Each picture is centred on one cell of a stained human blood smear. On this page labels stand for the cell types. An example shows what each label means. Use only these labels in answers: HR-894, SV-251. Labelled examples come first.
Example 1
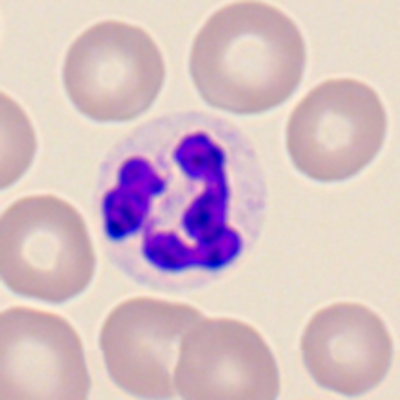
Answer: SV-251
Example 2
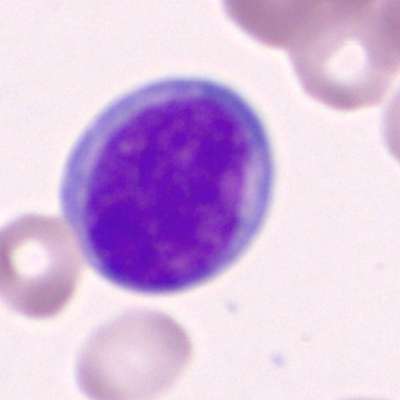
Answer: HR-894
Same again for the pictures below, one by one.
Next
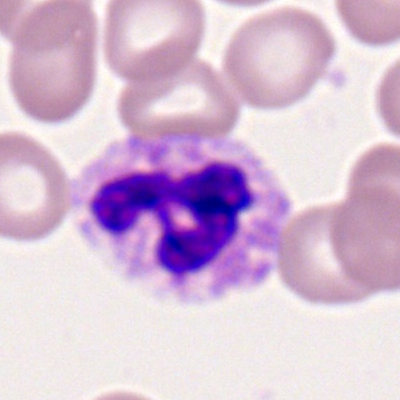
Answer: SV-251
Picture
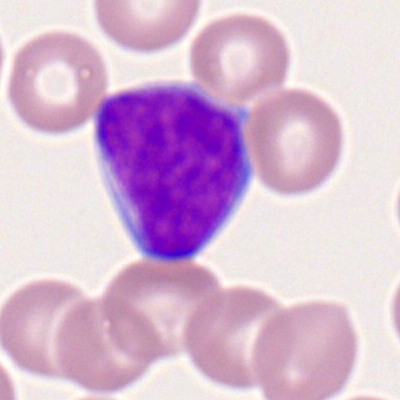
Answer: HR-894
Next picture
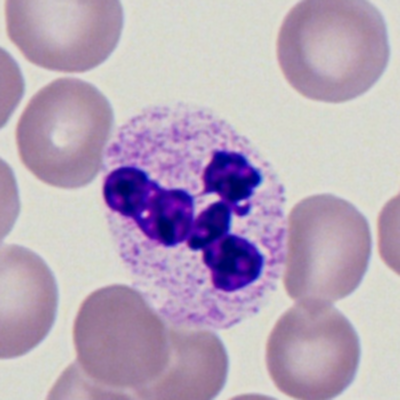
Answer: SV-251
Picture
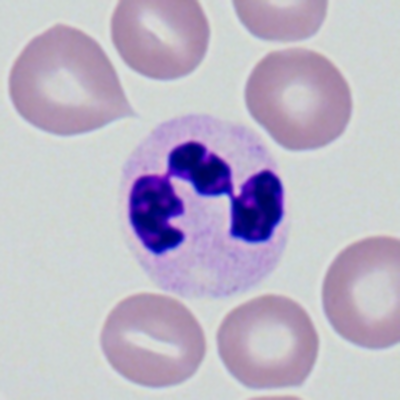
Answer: SV-251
